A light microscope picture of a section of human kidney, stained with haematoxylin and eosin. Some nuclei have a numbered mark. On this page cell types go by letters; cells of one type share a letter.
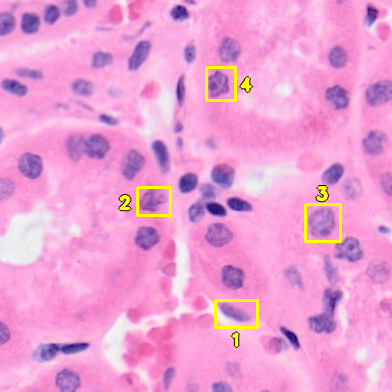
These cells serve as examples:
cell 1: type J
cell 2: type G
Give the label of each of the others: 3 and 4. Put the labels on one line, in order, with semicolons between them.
type G; type G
